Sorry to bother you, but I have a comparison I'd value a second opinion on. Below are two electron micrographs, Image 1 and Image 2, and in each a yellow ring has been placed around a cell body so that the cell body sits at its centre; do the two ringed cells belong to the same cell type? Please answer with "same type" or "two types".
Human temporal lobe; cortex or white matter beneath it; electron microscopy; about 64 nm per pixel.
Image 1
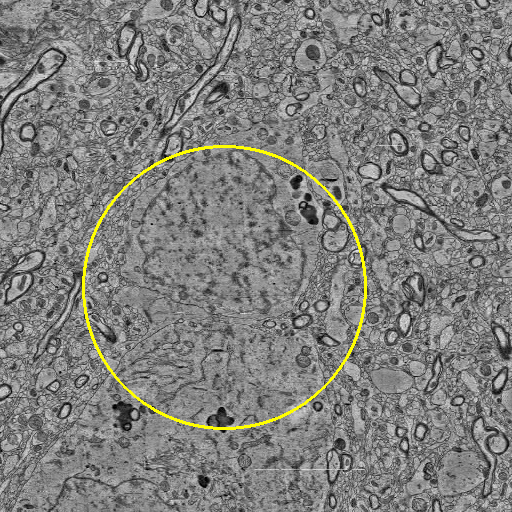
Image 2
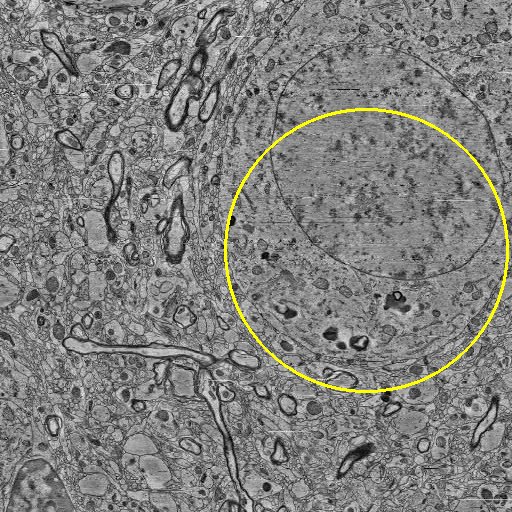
two types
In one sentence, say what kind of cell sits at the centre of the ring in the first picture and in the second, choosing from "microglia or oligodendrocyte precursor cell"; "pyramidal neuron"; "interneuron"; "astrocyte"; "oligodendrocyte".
The first picture's ringed cell is an interneuron, while the second picture's is a pyramidal neuron.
